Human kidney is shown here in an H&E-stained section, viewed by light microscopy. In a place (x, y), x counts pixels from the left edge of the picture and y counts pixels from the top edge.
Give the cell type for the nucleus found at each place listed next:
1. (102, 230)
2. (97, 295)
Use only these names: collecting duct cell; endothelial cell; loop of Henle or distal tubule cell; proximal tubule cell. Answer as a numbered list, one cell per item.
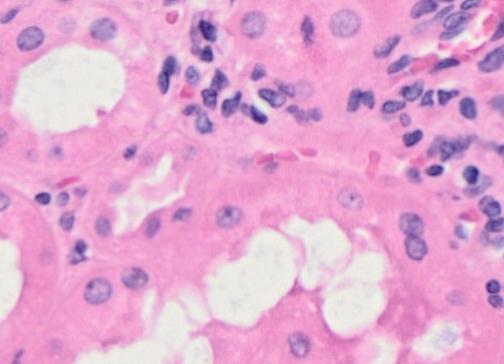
1. loop of Henle or distal tubule cell
2. proximal tubule cell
